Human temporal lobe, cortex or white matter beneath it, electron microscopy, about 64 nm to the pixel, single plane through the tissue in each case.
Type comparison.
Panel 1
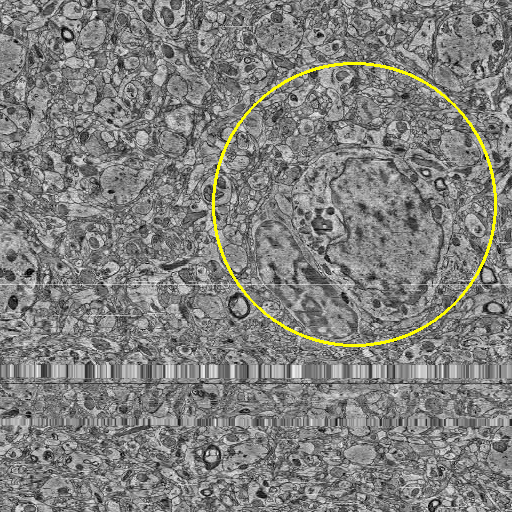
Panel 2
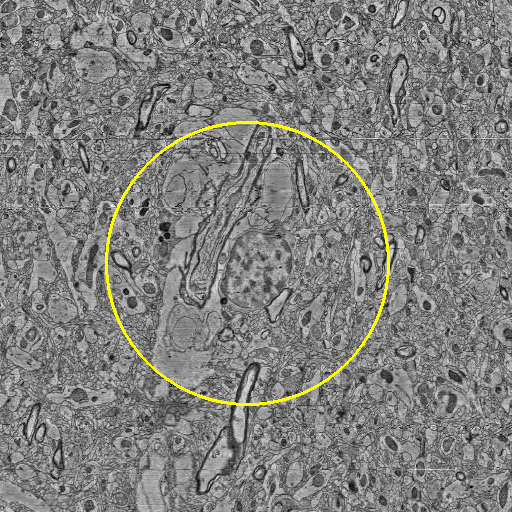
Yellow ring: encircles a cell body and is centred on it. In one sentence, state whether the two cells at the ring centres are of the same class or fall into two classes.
In these panels, the two cells at the ring centres fall into two classes.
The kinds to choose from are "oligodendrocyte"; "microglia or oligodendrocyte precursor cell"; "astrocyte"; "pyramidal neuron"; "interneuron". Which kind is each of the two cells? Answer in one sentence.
Of the two, the first cell is an interneuron and the second cell is an oligodendrocyte.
